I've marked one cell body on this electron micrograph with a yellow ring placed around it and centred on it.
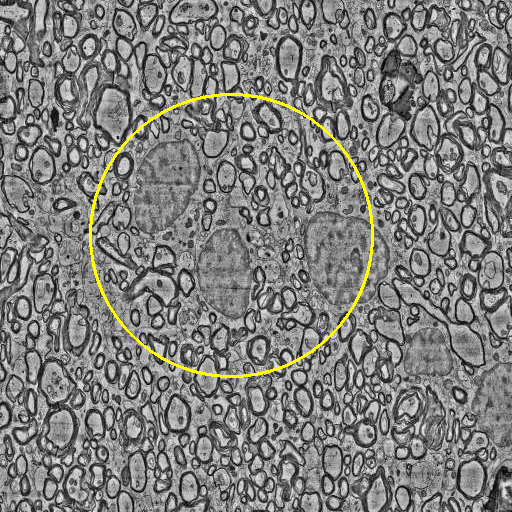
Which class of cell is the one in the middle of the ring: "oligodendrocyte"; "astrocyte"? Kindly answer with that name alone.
oligodendrocyte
